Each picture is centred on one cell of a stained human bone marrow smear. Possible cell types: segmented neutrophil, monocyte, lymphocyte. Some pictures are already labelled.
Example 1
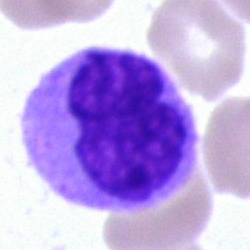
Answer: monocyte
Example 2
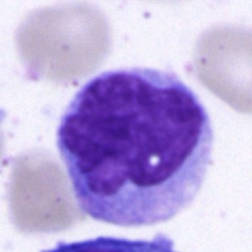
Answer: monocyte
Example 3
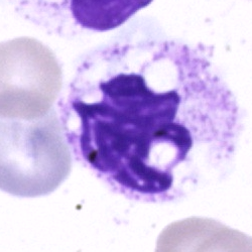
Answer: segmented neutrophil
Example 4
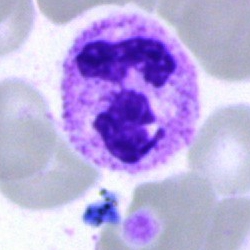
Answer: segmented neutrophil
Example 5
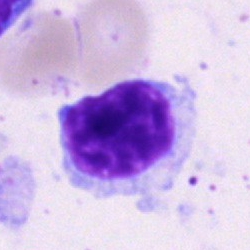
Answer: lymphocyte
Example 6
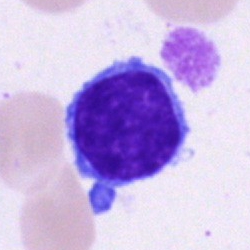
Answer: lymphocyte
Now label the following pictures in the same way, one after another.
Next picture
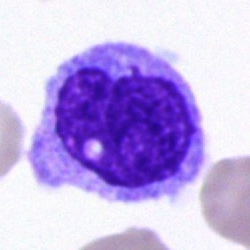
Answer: monocyte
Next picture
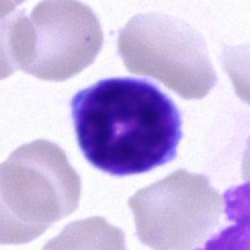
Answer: lymphocyte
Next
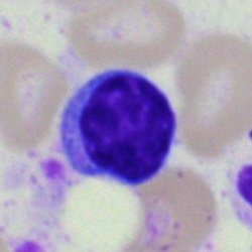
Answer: lymphocyte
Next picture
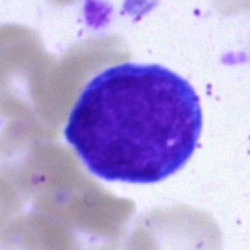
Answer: lymphocyte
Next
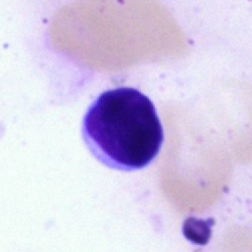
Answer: lymphocyte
